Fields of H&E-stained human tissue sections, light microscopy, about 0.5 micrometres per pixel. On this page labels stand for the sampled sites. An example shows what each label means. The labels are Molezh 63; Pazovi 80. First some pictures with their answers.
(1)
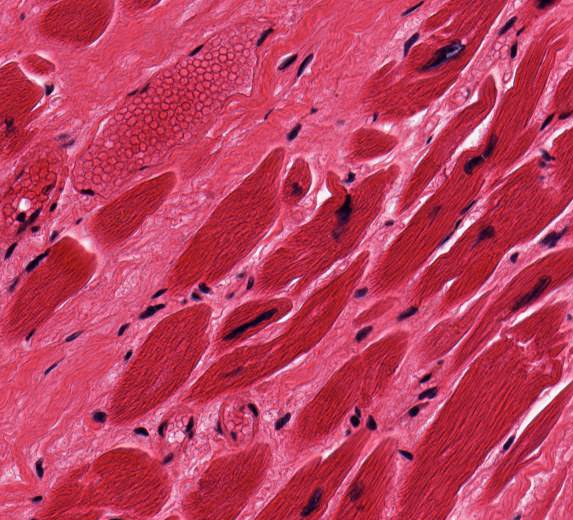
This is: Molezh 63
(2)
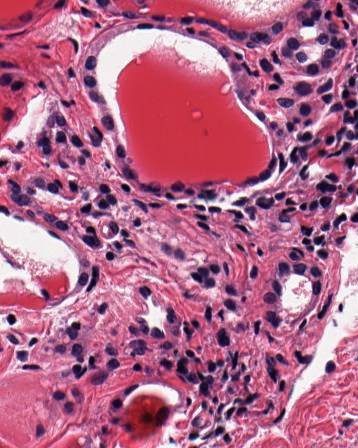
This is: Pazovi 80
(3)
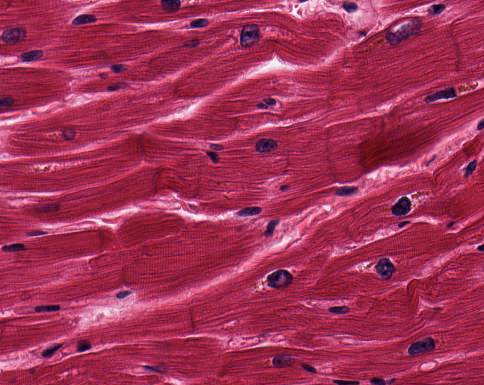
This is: Molezh 63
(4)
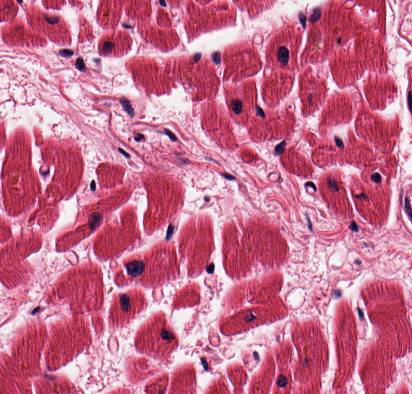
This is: Molezh 63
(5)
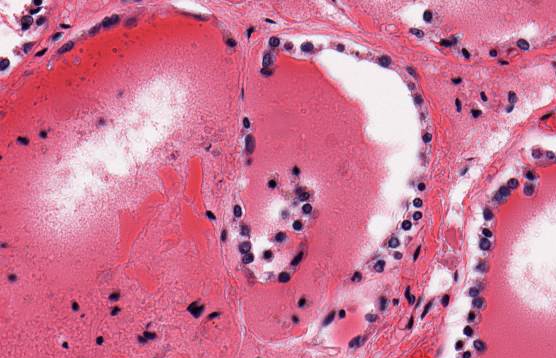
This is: Pazovi 80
